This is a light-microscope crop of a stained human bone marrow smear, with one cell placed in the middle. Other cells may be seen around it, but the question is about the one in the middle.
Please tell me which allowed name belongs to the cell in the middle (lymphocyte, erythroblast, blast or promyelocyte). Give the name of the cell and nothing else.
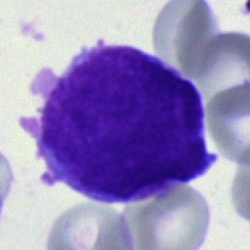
blast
